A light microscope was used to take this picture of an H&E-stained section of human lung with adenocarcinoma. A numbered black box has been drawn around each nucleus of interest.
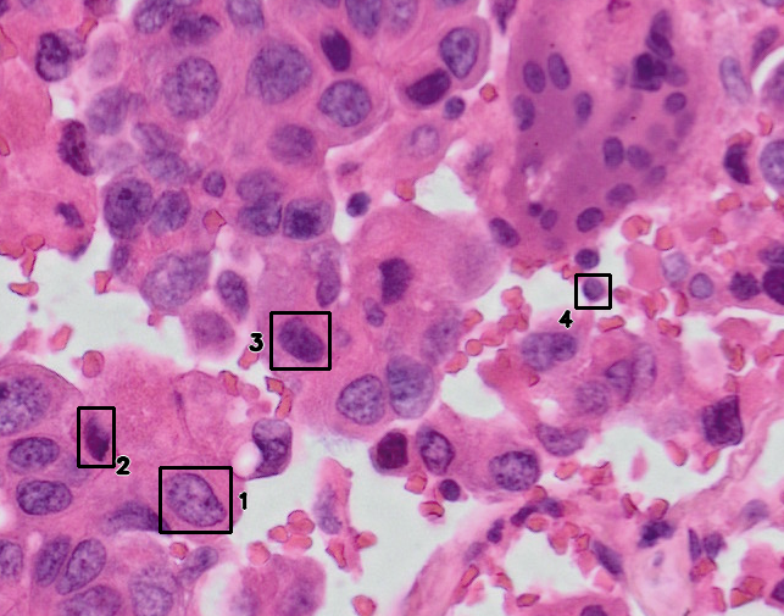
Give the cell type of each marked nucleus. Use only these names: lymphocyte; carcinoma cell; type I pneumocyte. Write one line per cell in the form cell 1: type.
cell 1: carcinoma cell
cell 2: carcinoma cell
cell 3: carcinoma cell
cell 4: lymphocyte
